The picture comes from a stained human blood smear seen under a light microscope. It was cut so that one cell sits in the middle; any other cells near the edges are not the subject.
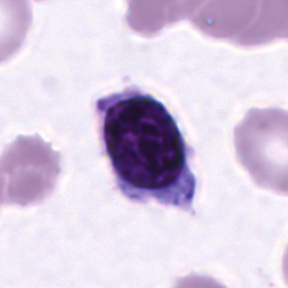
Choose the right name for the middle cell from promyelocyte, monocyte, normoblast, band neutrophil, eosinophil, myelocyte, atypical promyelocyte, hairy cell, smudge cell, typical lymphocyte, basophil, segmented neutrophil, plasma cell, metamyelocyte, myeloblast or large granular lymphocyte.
plasma cell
